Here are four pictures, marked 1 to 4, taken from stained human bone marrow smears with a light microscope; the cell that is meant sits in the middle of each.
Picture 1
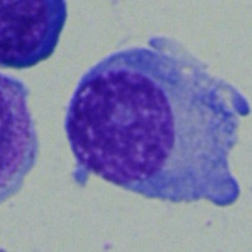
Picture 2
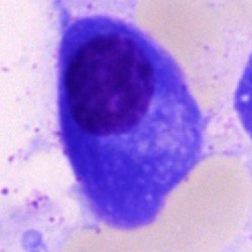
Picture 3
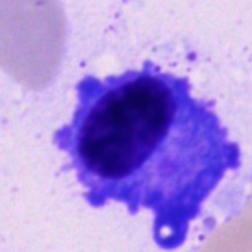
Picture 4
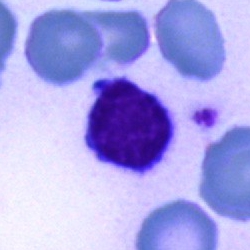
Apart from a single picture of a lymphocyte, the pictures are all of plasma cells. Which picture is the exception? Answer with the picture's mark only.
4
